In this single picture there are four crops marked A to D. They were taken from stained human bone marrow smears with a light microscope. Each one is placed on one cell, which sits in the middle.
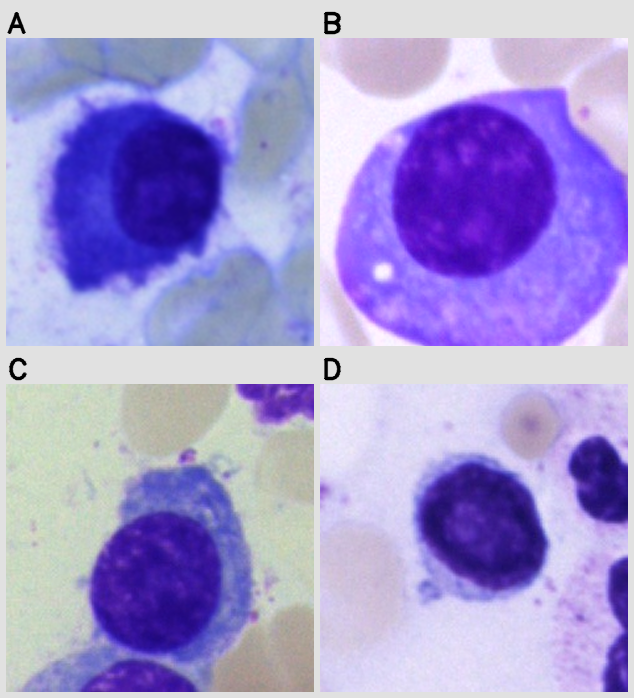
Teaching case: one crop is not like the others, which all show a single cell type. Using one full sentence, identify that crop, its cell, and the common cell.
Crop D is the odd one out, being a lymphocyte, while all the other crops show plasma cells.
